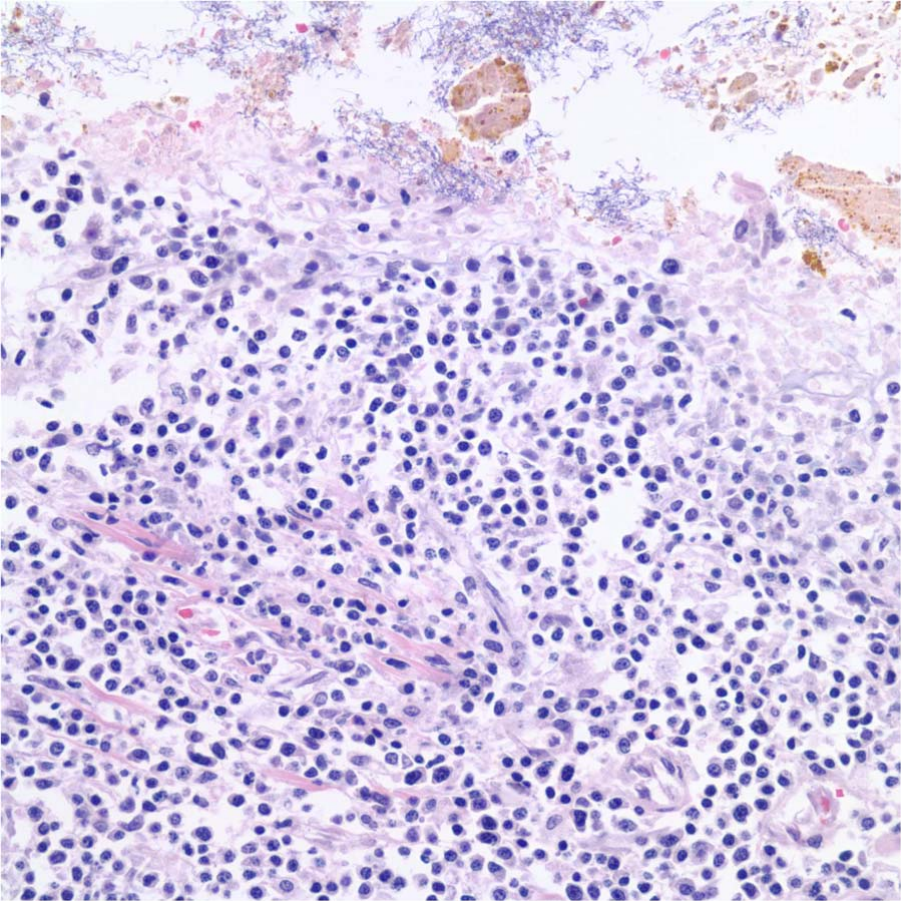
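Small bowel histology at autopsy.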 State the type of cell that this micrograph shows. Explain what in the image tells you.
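Dense sheets of small round cells with dark round nuclei and scant cytoplasm fill most of the panel. The nuclei vary somewhat in size, some larger with visible chromatin detail.
Polymorphic lymphocytes.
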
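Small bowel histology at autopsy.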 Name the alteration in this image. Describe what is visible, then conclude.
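No surface epithelium lines the top of the tissue. The top edge is covered by pale pink necrotic debris with clumps of brown pigment and tangles of fine blue filaments.
Answer: ulcers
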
